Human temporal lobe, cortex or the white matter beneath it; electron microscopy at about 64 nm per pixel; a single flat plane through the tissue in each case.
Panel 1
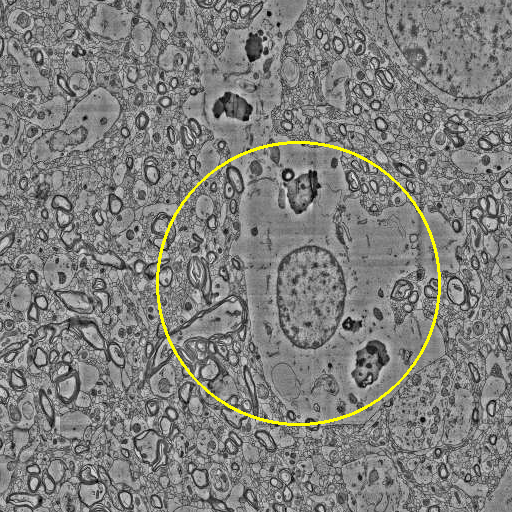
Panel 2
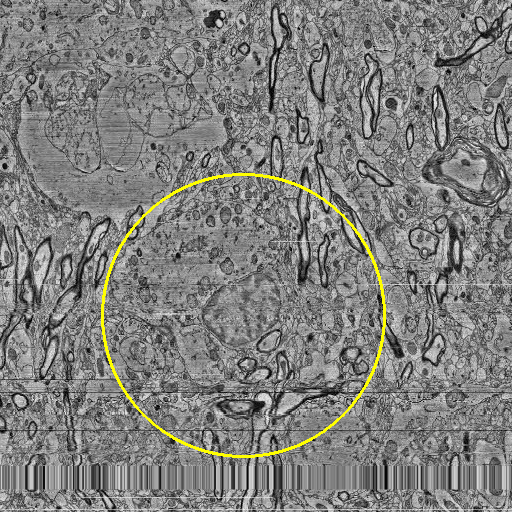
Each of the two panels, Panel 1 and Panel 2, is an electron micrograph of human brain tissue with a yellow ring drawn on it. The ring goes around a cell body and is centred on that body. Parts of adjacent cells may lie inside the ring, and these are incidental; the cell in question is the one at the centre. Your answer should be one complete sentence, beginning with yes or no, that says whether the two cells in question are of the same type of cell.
No, the two cells are of two types.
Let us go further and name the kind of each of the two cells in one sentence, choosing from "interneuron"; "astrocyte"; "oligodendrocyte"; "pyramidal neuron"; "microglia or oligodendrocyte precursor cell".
The ring of the first picture is on an astrocyte, the ring of the second on an oligodendrocyte.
